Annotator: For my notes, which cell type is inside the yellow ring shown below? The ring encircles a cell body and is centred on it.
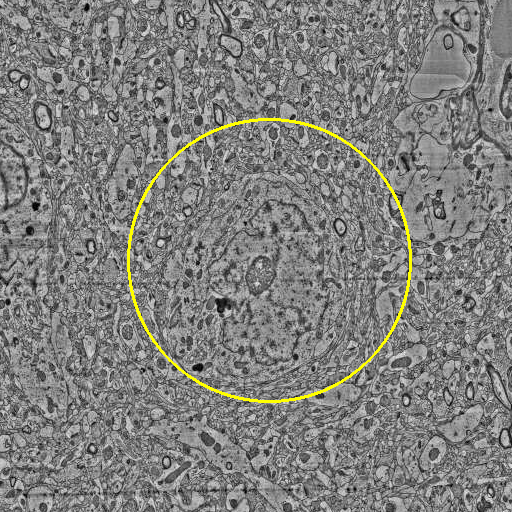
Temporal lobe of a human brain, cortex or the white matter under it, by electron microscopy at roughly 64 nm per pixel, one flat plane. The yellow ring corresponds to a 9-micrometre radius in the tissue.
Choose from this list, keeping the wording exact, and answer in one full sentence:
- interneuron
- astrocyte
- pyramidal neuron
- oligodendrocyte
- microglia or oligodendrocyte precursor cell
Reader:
At the centre of the yellow ring there is an interneuron, as shown in the picture.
